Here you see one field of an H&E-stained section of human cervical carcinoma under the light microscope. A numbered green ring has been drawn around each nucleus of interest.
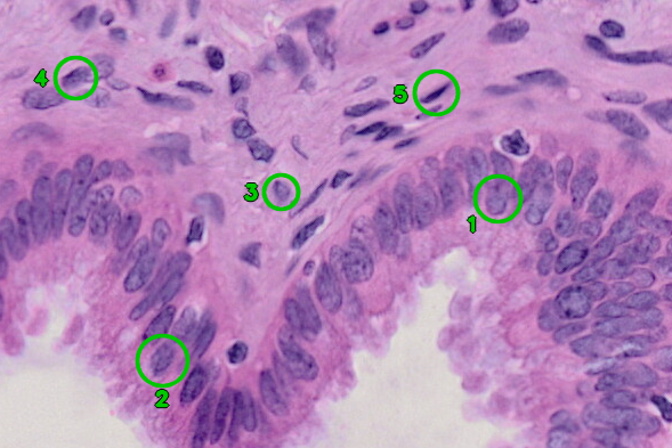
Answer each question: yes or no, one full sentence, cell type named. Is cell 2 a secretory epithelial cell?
Yes, the cell distinguished by number 2 is a secretory epithelial cell.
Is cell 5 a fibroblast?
Yes, within this section, cell number 5 is a fibroblast.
